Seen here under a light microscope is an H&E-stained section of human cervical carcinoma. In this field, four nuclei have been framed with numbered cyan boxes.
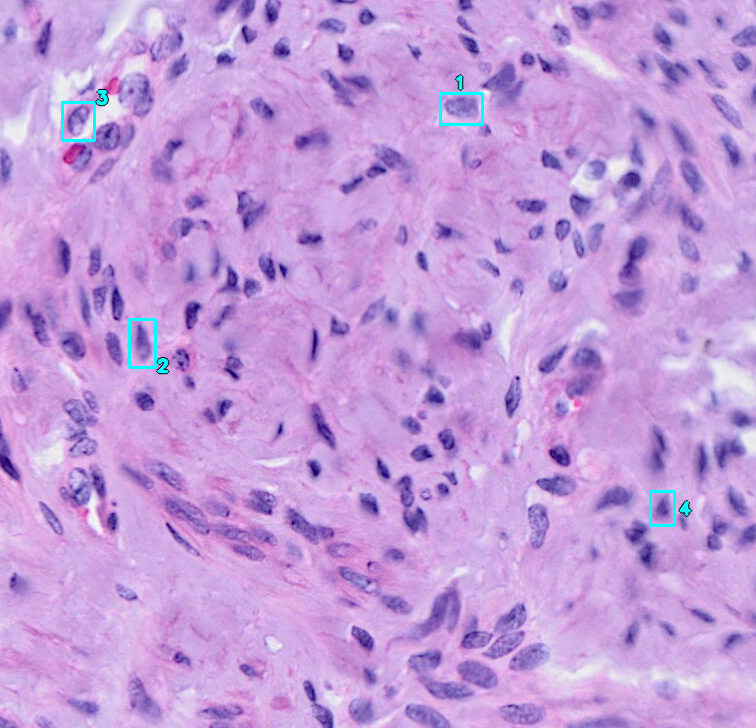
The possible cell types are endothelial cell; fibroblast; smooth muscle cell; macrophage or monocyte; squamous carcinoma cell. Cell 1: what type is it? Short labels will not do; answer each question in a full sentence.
The cell numbered 1 has been identified as a fibroblast.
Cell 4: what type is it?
The cell with the number 4 is a fibroblast.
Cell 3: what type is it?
The one labeled 3 is an endothelial cell, to put it simply.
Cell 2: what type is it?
The cell carrying label 2 is identified as a fibroblast.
